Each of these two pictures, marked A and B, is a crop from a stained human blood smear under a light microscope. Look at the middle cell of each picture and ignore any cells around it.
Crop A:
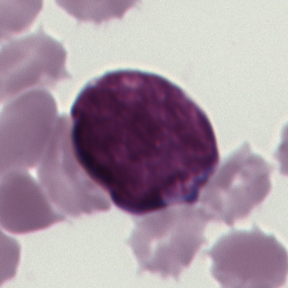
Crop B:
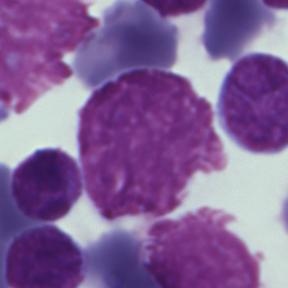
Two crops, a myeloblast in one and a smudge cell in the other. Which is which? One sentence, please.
Crop A is identified as a myeloblast, and crop B is identified as a smudge cell.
